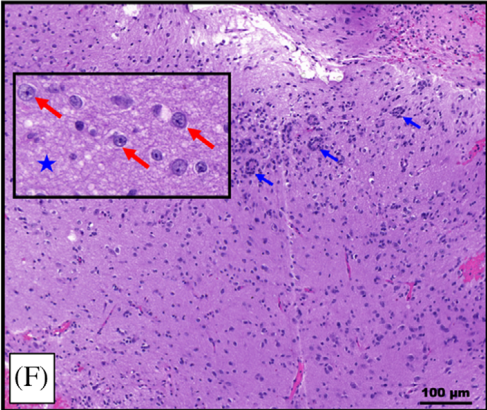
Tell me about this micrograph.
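The enlarged inset shows large neuronal cells with round nuclei, prominent nucleoli and a rim of pink cytoplasm lying within the vacuolated, fibrillary neuropil. Here and there small clusters of darker nuclei form small monolayered rosettes. A few thin vessels with red blood cells cross the tissue. The crowded sheets of small blue cells typical of primitive tumor are absent.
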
